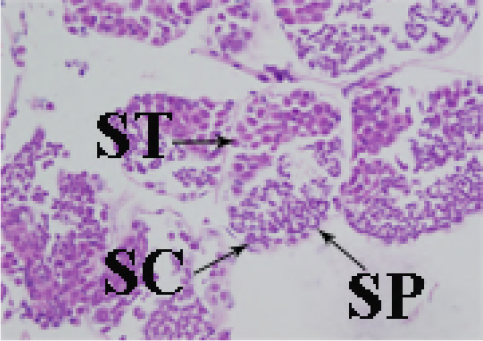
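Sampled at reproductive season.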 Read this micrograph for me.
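Testis with lobules of germ cells, spermatocytes, spermatids and sperm. Rounded lobules are densely filled with small round cells whose nuclei stain dark purple, leaving little visible cytoplasm. The cells lie tightly crowded, forming compact masses that fill most of each lobule. Neighbouring lobules are separated by thin, pale septa of connective tissue and by clear spaces where tissue has pulled apart. Some lobules show a looser central region with scattered cells. No pink-staining muscle or epithelium is evident in the field; the whole section is dominated by the purple nuclear staining of the germ cells.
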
